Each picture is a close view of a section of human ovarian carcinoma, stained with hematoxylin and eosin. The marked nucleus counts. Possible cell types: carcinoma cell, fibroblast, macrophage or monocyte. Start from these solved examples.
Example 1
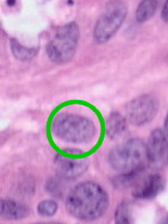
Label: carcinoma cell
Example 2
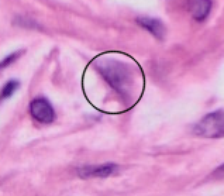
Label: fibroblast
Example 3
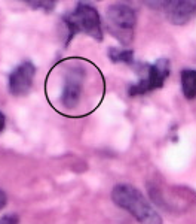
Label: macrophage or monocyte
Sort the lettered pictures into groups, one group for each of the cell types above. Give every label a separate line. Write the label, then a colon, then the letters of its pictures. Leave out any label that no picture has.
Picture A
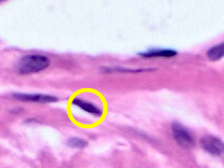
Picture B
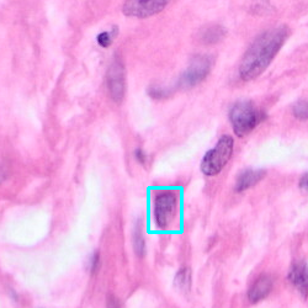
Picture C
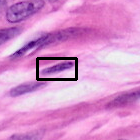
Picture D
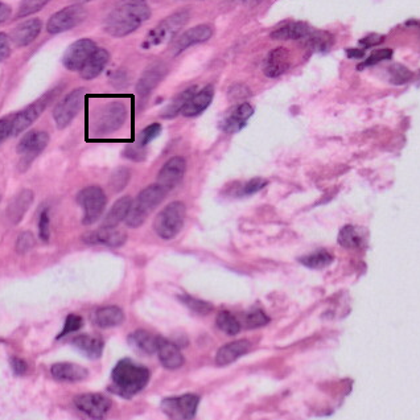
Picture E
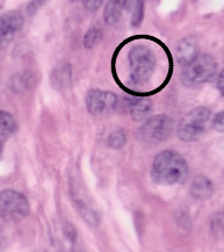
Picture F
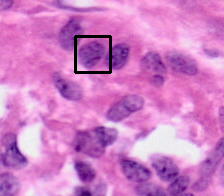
carcinoma cell: D, E, F
fibroblast: A, B, C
